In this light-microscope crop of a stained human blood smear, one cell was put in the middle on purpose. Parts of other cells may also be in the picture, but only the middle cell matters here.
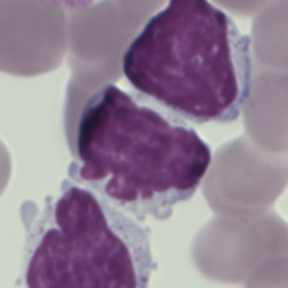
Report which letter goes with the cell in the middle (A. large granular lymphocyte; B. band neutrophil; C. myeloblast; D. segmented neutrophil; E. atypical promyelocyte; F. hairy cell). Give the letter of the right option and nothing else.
A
